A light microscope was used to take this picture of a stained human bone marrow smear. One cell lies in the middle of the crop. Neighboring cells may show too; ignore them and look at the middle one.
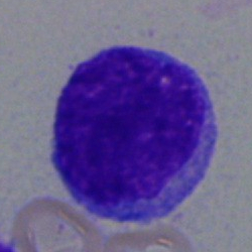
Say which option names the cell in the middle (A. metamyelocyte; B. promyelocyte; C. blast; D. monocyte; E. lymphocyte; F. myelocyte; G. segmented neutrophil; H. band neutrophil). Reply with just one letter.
C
